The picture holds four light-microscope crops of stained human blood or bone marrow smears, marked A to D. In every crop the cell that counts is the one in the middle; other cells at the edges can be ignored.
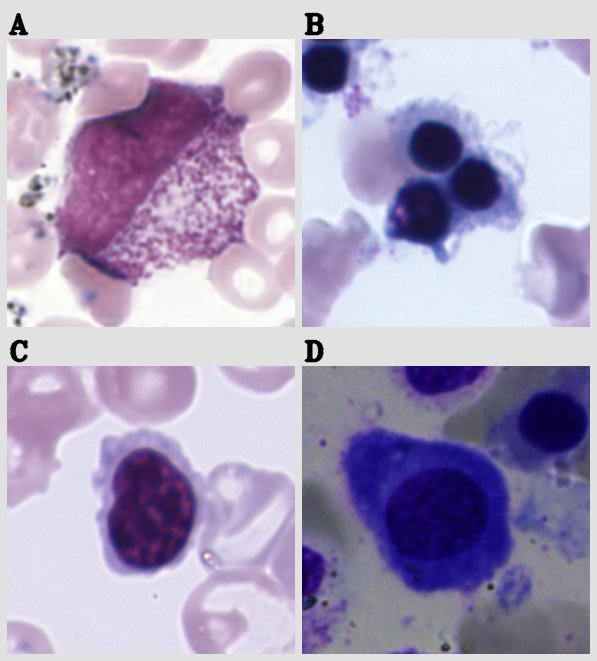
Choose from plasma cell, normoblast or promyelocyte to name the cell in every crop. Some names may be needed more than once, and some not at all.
A: promyelocyte
B: normoblast
C: normoblast
D: plasma cell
